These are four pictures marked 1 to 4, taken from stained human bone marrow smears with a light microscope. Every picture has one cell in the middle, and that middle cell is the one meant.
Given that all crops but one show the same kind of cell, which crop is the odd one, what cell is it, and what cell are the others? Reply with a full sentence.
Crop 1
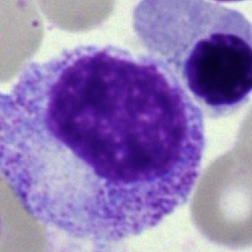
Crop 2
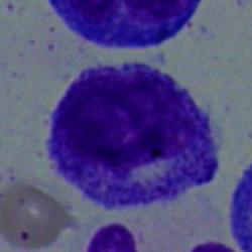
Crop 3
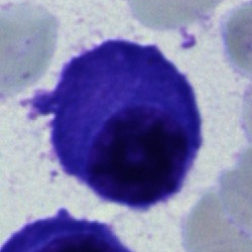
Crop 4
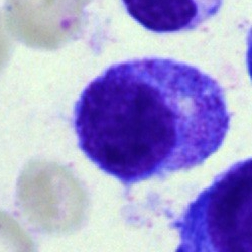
Here the outlier is crop 3, which is a plasma cell, and the rest are myelocytes.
